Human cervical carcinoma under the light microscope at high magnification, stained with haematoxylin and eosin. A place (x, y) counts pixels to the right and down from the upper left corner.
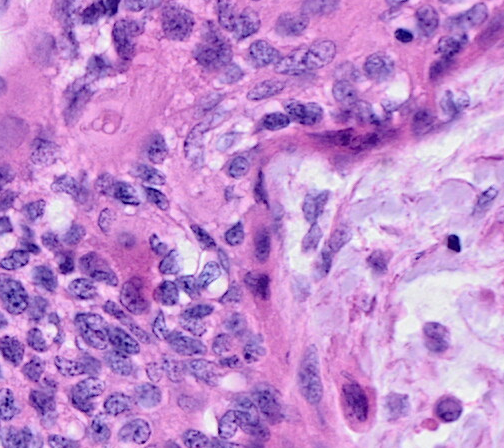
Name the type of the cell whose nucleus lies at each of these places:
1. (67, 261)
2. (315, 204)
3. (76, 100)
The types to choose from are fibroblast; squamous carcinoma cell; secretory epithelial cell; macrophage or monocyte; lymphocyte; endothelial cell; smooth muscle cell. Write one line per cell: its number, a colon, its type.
1: squamous carcinoma cell
2: fibroblast
3: squamous carcinoma cell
